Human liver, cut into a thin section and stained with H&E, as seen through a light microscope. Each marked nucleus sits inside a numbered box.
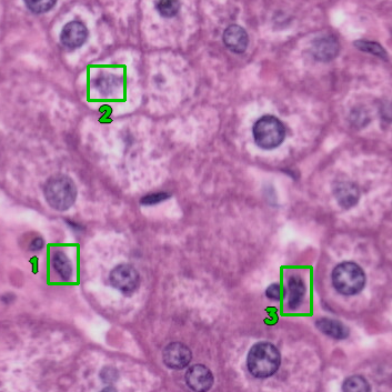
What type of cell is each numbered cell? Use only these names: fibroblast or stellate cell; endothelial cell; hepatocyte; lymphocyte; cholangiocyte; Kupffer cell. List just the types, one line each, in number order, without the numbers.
Kupffer cell
hepatocyte
Kupffer cell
